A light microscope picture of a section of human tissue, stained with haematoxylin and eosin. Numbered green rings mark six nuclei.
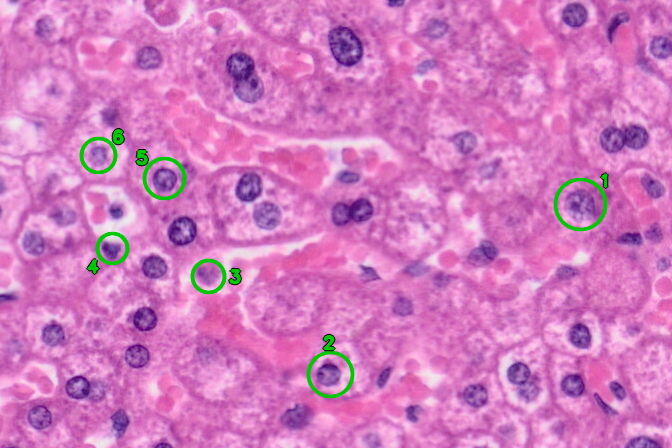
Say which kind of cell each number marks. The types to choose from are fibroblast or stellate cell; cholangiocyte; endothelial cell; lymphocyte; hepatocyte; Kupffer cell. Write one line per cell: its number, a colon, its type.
1: hepatocyte
2: hepatocyte
3: Kupffer cell
4: fibroblast or stellate cell
5: hepatocyte
6: hepatocyte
